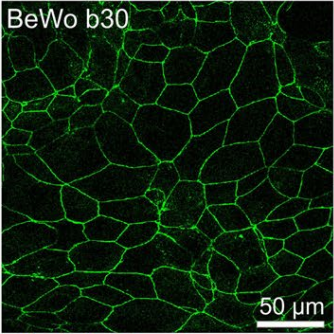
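The lines are continuous and meet at cell corners, forming a closed network of polygonal outlines resembling a honeycomb. The cell interiors are dark with only faint, fine green speckling, and nuclei are not stained. There are no obvious gaps in the network of borders.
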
